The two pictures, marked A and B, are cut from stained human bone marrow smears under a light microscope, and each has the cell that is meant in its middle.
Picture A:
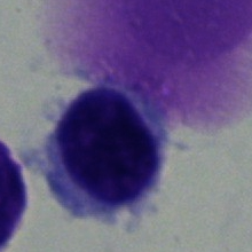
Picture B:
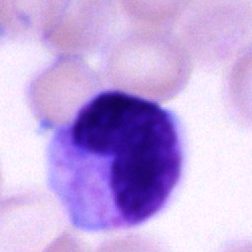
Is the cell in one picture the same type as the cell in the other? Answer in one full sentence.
No, picture A shows a hairy cell and picture B shows a metamyelocyte.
